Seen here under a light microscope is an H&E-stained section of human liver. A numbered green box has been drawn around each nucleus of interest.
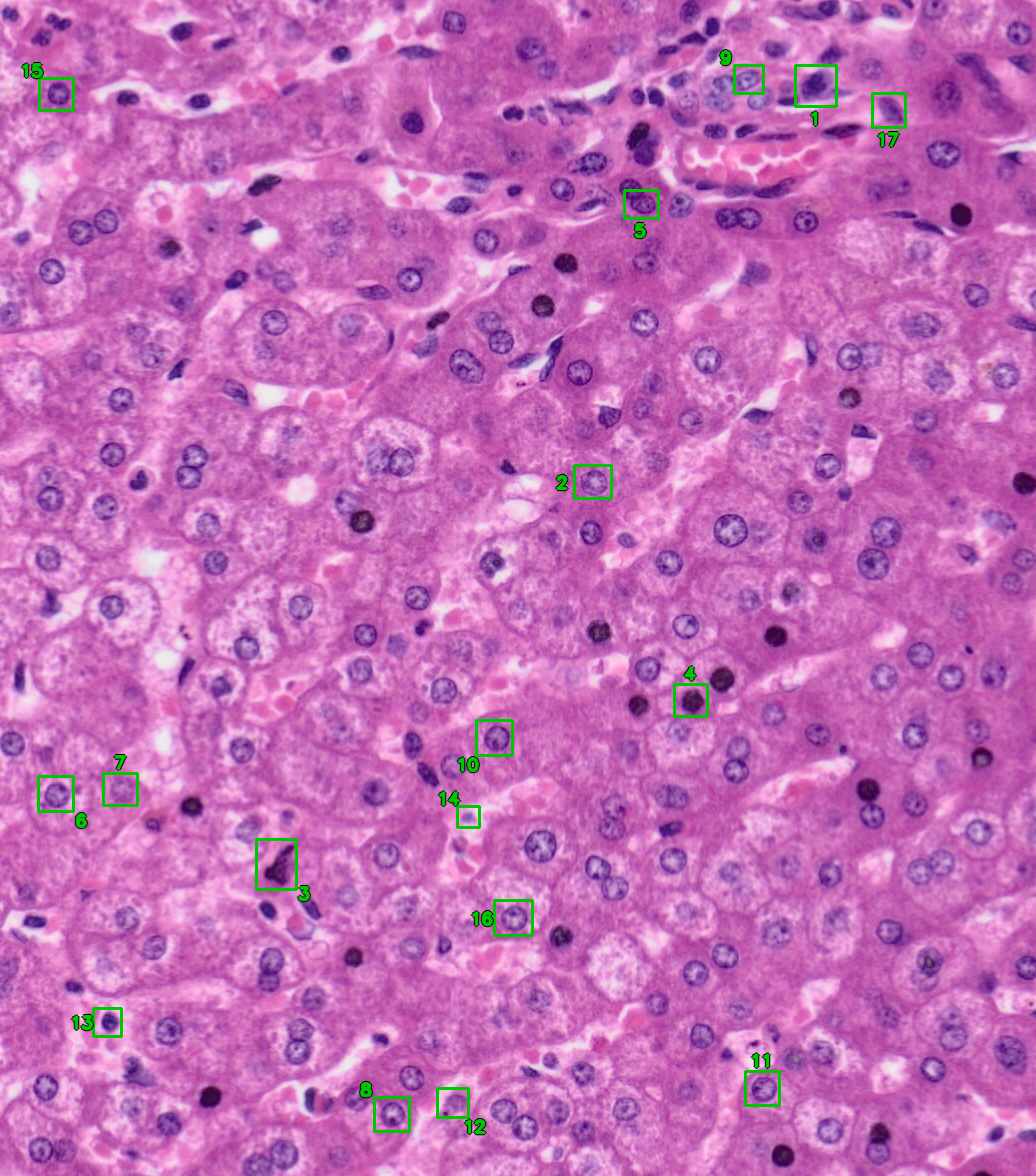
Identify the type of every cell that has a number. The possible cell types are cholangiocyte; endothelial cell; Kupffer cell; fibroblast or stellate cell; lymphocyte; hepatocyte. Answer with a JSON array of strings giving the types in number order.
["fibroblast or stellate cell", "hepatocyte", "Kupffer cell", "hepatocyte", "cholangiocyte", "hepatocyte", "hepatocyte", "hepatocyte", "cholangiocyte", "hepatocyte", "hepatocyte", "Kupffer cell", "lymphocyte", "lymphocyte", "hepatocyte", "hepatocyte", "fibroblast or stellate cell"]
